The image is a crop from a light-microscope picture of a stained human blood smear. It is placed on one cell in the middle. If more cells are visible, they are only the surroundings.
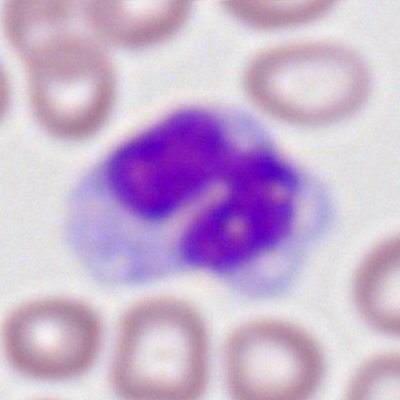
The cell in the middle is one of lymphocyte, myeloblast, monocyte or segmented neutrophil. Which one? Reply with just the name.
monocyte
